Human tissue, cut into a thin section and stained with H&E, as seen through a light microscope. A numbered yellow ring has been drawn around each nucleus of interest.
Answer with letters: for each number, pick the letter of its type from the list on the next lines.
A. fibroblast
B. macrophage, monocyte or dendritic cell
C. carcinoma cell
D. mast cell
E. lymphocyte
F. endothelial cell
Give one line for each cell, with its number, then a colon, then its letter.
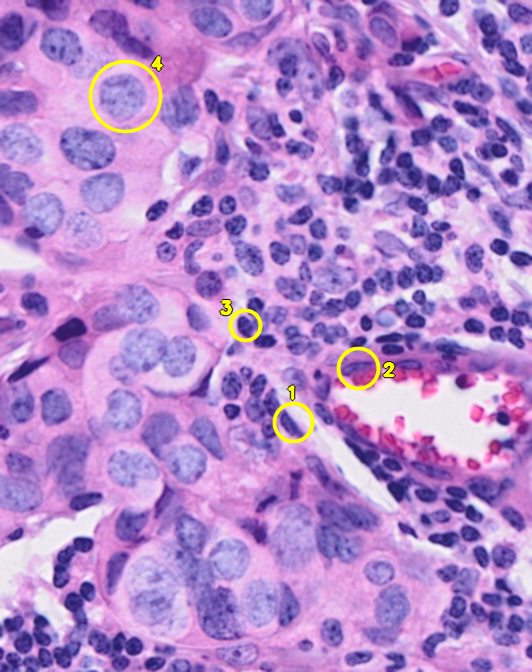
1: E
2: F
3: E
4: C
